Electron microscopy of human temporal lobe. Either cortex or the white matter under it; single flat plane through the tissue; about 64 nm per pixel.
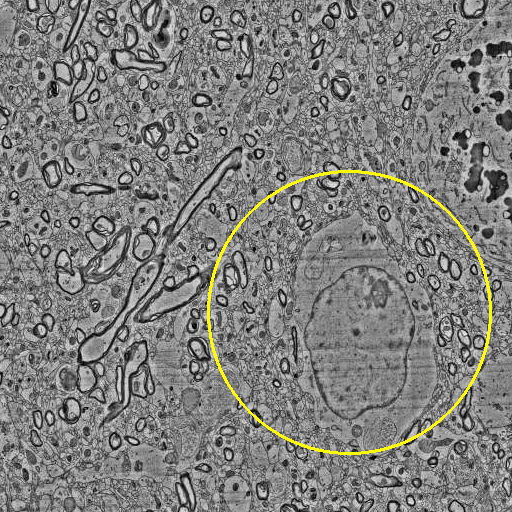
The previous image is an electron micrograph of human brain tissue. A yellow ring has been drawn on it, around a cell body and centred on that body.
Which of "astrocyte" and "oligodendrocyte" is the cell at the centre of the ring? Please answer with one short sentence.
The cell body at the centre of the ring belongs to an astrocyte.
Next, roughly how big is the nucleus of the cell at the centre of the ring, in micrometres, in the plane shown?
Approximately 10 x 7 micrometres in this plane.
